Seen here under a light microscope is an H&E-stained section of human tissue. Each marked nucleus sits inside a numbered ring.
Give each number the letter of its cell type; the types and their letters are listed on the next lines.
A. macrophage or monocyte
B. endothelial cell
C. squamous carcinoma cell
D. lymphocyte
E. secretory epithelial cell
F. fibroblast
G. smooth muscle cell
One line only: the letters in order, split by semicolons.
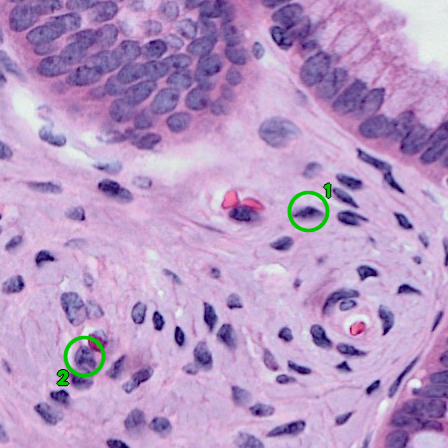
F; B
